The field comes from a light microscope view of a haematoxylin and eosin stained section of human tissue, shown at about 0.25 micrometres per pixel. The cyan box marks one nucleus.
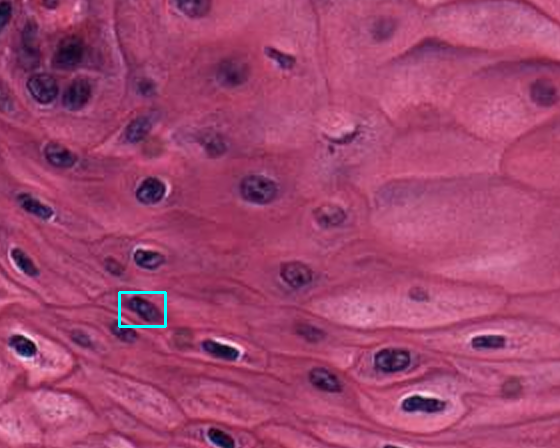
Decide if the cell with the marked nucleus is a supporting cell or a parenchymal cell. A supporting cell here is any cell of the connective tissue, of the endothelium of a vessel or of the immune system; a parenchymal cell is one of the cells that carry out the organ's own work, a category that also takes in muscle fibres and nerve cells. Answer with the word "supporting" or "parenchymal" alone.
parenchymal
